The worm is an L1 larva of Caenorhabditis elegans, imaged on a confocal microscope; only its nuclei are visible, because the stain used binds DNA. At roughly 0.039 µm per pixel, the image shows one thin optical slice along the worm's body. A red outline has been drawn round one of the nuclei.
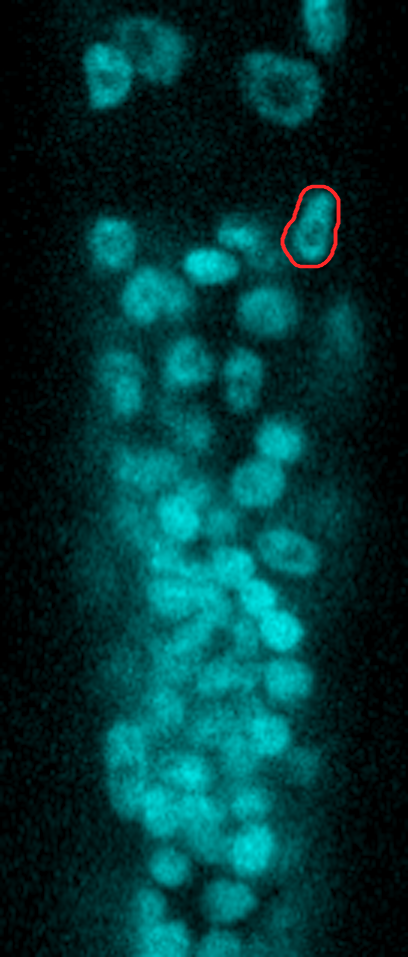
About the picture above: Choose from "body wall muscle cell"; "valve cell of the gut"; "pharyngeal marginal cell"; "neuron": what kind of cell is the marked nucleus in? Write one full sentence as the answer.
What is marked is the nucleus of a body wall muscle cell.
